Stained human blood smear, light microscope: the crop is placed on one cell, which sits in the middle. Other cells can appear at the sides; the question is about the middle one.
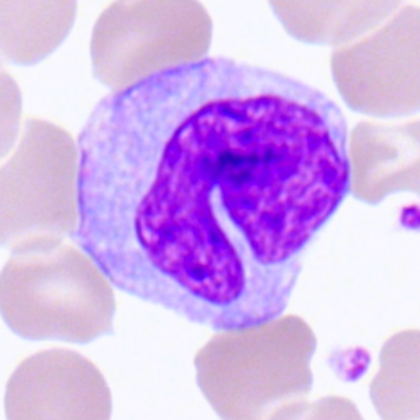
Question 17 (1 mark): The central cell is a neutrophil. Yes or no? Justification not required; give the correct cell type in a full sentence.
No, the cell in the centre is a monocyte instead of a neutrophil.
